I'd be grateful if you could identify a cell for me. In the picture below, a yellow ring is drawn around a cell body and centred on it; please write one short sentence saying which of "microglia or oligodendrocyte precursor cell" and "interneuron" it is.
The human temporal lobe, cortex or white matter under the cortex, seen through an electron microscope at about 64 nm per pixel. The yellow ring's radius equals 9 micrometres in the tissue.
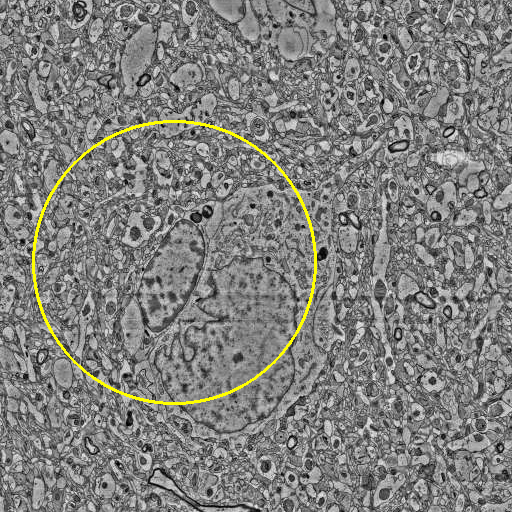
The cell under the ring's centre is a microglial cell or oligodendrocyte precursor cell.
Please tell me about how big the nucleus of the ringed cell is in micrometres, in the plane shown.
The nucleus is approximately 13 micrometers long by 10 micrometers wide in this plane.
